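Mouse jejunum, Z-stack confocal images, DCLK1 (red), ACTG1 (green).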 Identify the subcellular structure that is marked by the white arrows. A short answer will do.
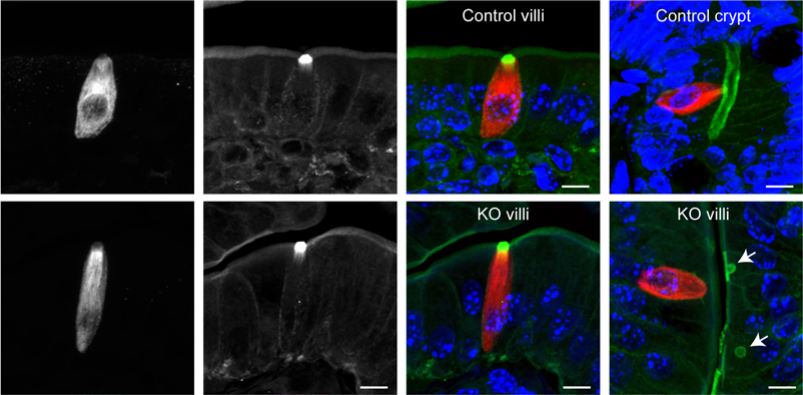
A: Microvillus inclusions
